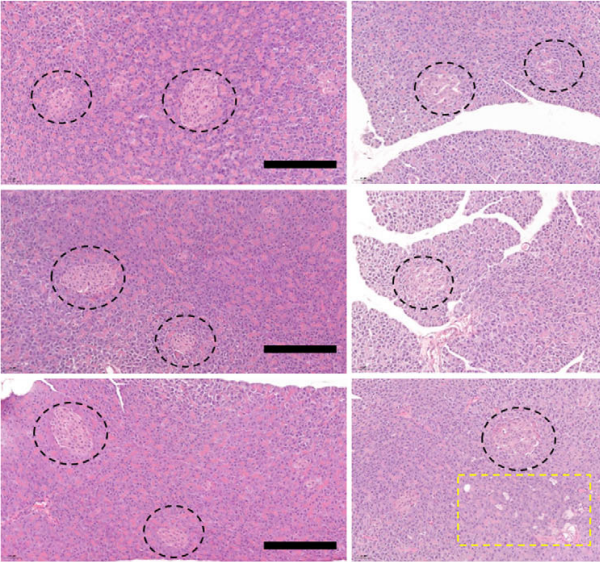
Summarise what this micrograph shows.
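Pancreatic tissue is shown. Most of the field is densely packed exocrine glandular tissue, which stains pink-purple. Scattered in it are rounded, paler-staining islets, each outlined by a dashed circle. In the right column the islets look paler and contain small clear vacuoles. In the bottom right image, one area holds many clear, empty-looking spaces.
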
